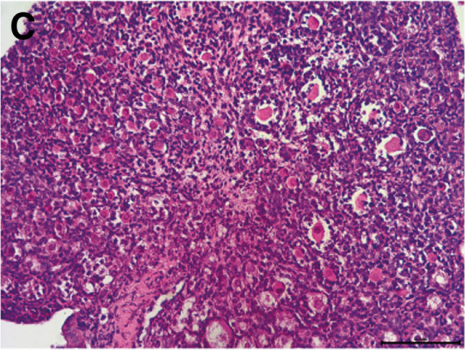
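This section of an ovary shows dense cellular tissue with oocytes scattered through it. Many oocytes appear as round or irregular pale spaces, several of them holding a shrunken, bright pink body, and are rimmed by small cells with dark nuclei. Most of the field is packed with small cells whose nuclei are dark purple and round to oval. Small pale oocytes with a surrounding layer of cells appear near the lower edge. A paler pink, more fibrous strand runs in from the lower left.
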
